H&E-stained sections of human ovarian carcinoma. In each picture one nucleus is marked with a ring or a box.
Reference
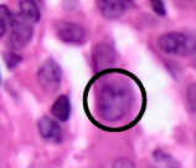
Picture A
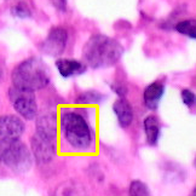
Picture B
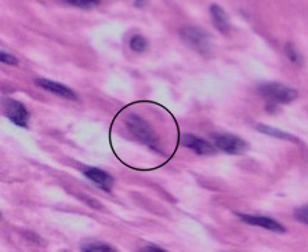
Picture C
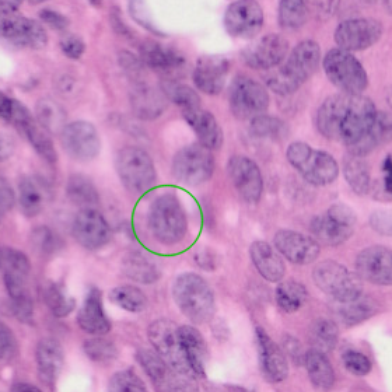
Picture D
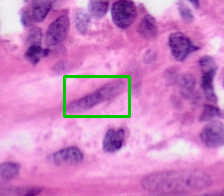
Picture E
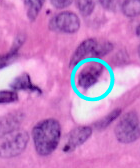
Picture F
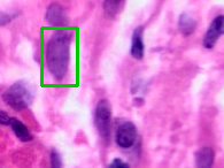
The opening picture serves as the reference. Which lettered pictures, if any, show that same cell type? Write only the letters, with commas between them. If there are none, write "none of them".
A, C, E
